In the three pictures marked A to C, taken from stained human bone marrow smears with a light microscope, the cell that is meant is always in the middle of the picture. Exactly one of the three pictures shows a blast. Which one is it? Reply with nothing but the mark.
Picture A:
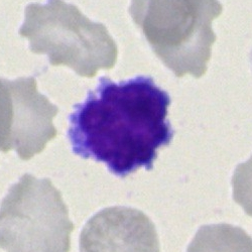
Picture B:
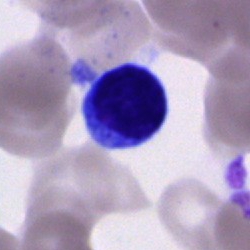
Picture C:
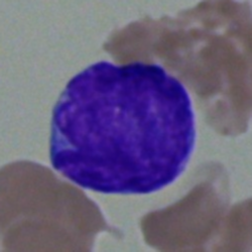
C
